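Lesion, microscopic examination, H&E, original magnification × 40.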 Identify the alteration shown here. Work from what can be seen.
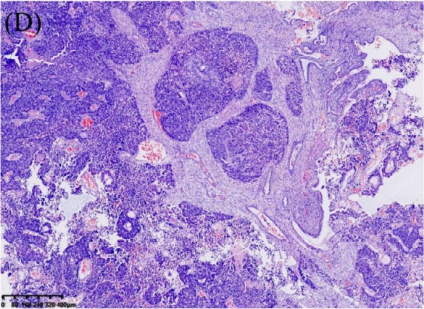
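Organoid, solid‐sheet, and trabecular growth patterns. Rounded nests of densely packed basophilic cells separated by pink fibrous stroma. Sheets and cords of tumour cells across the field.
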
